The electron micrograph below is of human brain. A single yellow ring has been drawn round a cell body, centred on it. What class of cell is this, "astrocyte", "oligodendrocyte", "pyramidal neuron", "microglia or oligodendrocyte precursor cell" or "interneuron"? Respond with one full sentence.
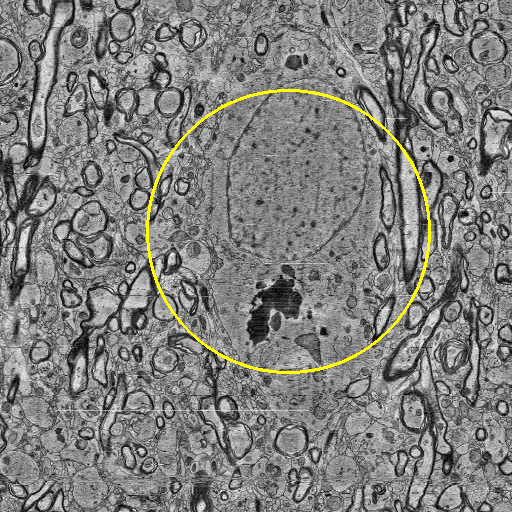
In the micrograph, the cell centred inside the yellow ring is an astrocyte.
